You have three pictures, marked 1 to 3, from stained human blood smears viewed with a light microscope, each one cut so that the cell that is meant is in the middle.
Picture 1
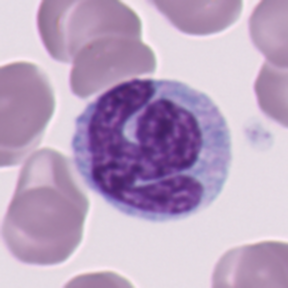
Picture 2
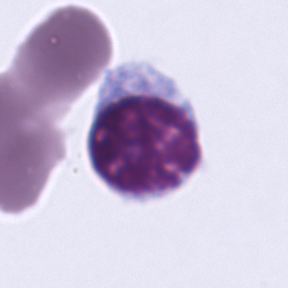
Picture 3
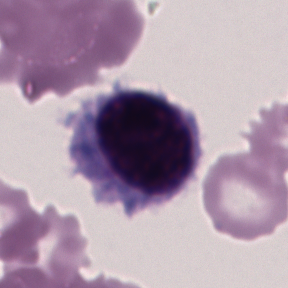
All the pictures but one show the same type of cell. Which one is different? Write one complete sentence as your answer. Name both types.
The different one is picture 1; it shows a monocyte, whereas all the others show hairy cells.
